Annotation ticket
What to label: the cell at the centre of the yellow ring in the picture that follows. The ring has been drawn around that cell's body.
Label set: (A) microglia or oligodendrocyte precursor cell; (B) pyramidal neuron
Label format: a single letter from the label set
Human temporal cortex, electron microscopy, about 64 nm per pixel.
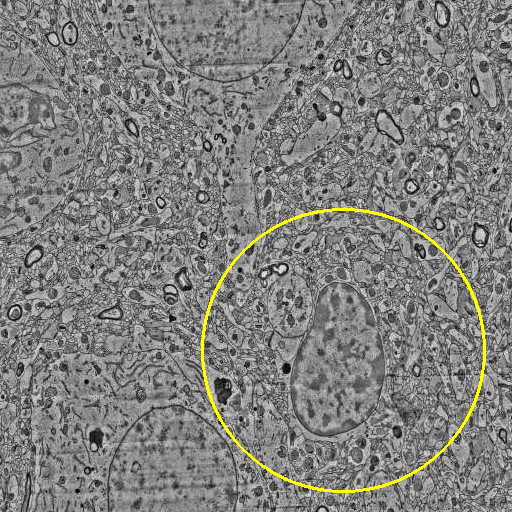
A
